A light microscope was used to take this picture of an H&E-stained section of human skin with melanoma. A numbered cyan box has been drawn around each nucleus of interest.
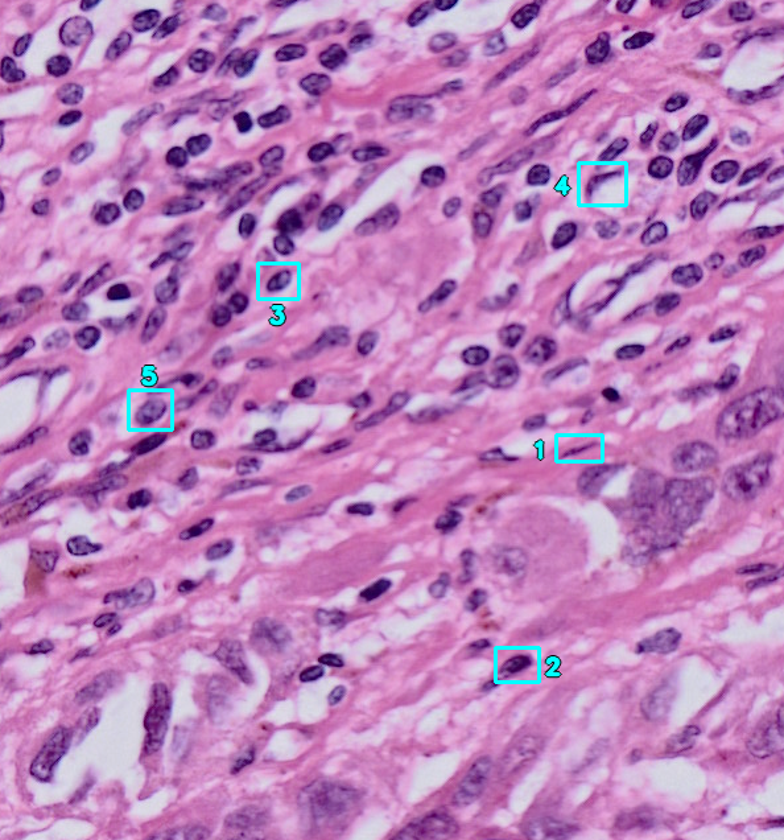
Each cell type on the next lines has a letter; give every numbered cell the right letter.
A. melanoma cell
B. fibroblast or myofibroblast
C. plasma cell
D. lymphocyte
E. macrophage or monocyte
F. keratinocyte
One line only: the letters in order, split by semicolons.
B; D; D; B; D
